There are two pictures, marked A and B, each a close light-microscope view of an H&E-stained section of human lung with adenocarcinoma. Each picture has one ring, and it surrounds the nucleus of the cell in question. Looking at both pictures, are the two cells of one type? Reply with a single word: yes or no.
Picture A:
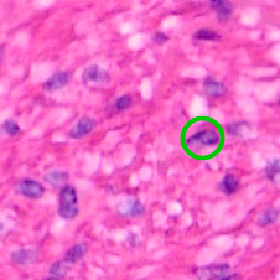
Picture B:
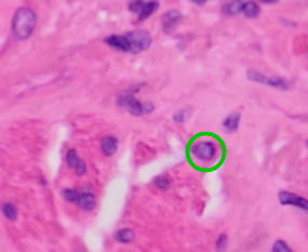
yes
